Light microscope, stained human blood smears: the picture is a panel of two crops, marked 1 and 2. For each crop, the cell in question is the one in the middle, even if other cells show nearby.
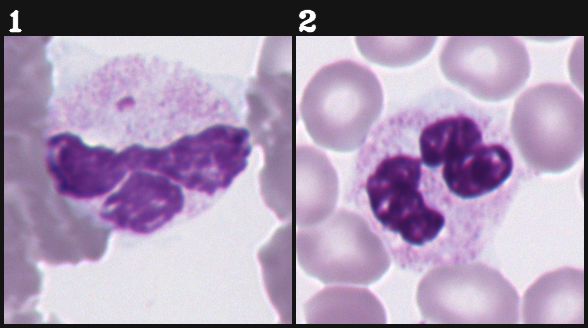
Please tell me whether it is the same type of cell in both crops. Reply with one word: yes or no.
yes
